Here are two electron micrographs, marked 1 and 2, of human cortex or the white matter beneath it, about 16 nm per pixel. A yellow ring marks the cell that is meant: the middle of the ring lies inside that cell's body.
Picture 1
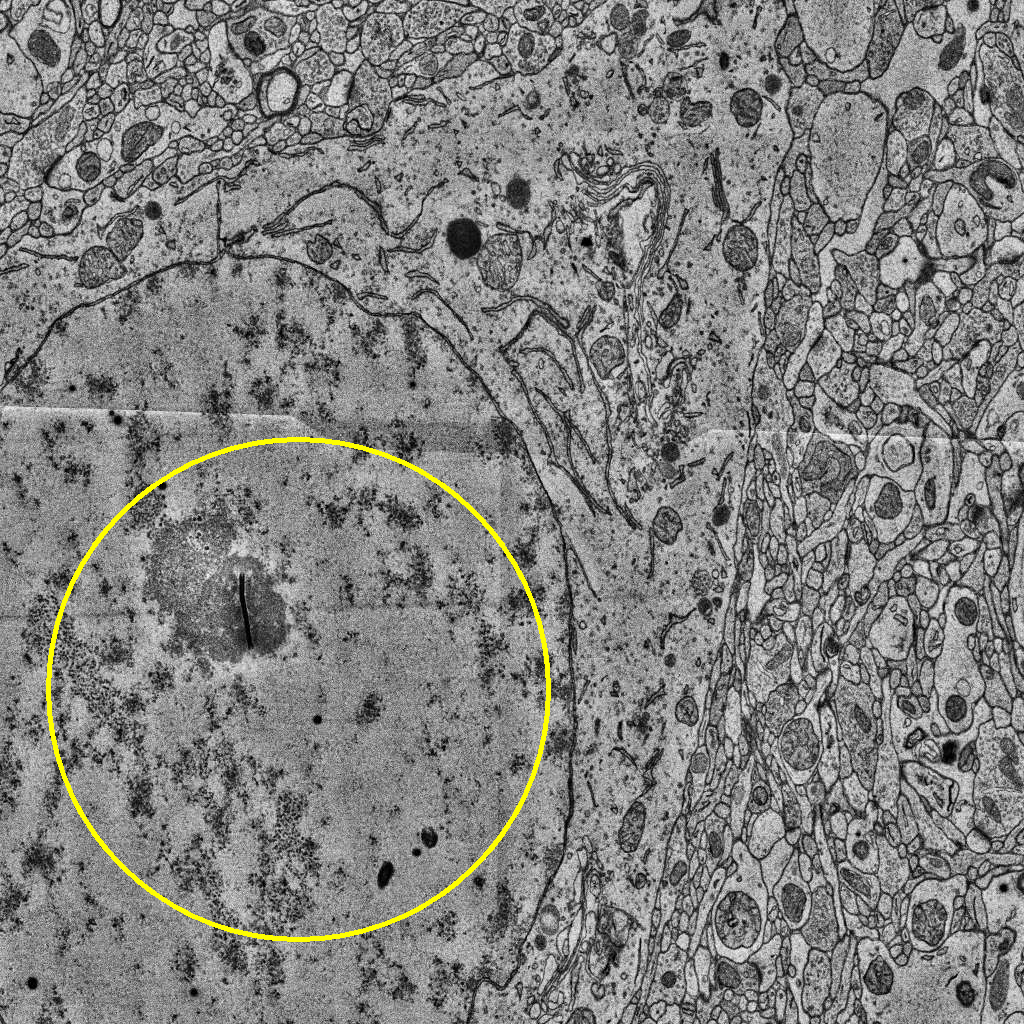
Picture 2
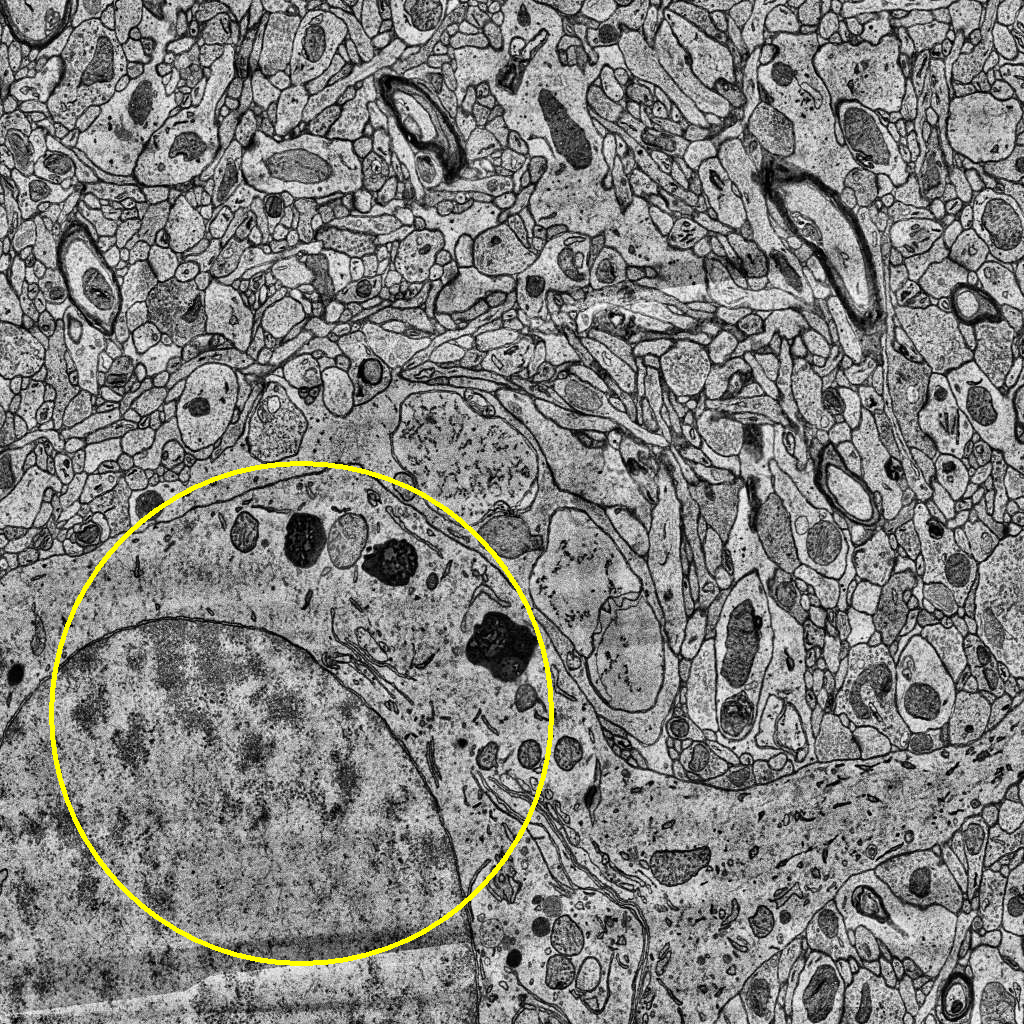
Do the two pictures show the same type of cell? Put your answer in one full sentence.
Yes, they are the same type: both are pyramidal neurons.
